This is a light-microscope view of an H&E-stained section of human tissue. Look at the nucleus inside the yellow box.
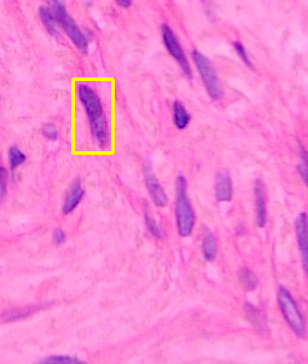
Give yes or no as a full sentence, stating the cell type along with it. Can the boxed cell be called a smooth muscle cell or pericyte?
Yes, where cell type is concerned, the boxed cell is a smooth muscle cell or pericyte.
